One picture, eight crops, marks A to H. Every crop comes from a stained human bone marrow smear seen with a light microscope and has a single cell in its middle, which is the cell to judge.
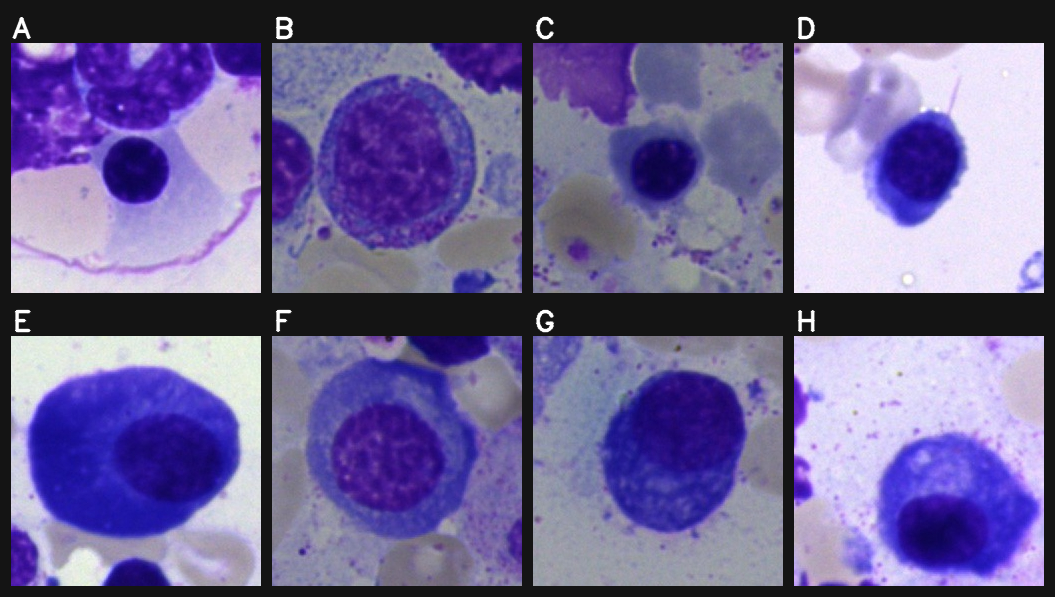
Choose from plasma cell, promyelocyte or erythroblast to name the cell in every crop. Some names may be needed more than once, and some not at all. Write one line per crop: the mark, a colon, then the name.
A: erythroblast
B: promyelocyte
C: erythroblast
D: erythroblast
E: plasma cell
F: plasma cell
G: plasma cell
H: plasma cell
